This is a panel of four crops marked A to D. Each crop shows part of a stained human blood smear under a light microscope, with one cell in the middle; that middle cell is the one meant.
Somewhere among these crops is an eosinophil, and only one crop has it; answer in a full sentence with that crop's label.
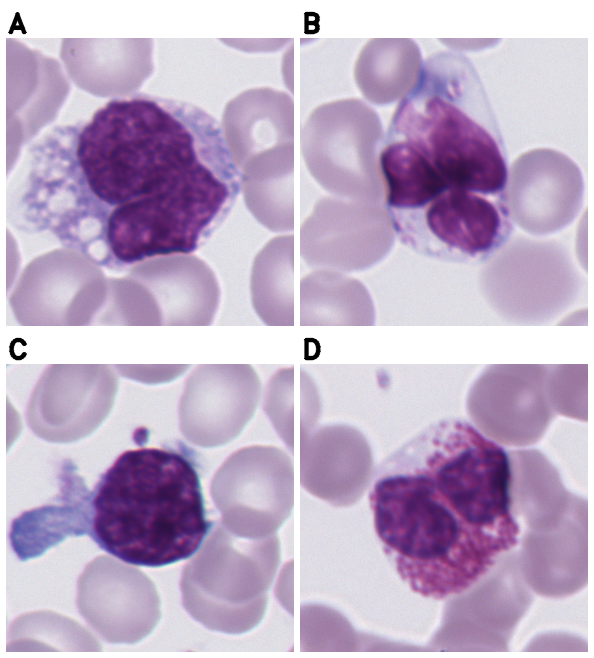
Crop D is the crop that shows an eosinophil in its middle.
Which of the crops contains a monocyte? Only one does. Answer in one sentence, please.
Crop A is the right one; it is the crop showing a monocyte.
